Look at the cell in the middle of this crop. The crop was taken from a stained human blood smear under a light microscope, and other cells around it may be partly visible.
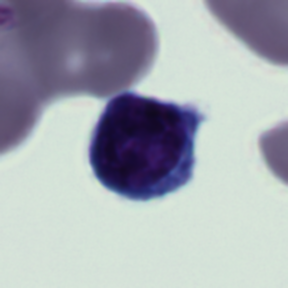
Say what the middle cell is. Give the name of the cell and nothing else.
plasma cell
